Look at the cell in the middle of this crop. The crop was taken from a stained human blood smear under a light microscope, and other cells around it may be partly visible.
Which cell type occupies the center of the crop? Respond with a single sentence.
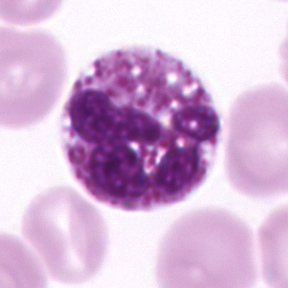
The crop centres on a single cell, and that cell is an eosinophil.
